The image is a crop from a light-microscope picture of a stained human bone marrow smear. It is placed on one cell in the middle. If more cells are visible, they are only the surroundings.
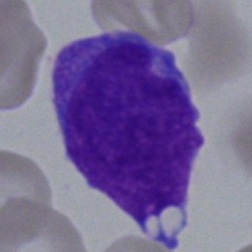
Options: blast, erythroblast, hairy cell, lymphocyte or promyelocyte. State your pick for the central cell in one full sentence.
Here the centrally located cell is a blast.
